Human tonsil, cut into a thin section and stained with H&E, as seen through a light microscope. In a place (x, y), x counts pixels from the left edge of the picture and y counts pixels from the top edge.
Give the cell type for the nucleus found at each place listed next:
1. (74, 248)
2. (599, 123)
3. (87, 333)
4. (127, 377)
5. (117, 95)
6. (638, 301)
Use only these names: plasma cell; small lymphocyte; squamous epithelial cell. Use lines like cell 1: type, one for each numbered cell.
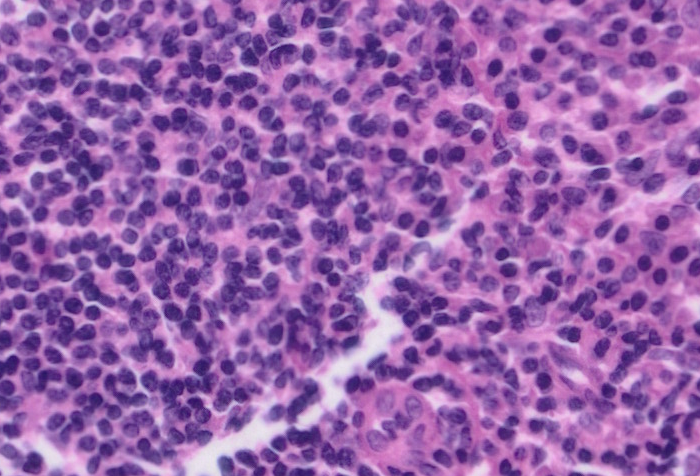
cell 1: small lymphocyte
cell 2: plasma cell
cell 3: small lymphocyte
cell 4: small lymphocyte
cell 5: small lymphocyte
cell 6: plasma cell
